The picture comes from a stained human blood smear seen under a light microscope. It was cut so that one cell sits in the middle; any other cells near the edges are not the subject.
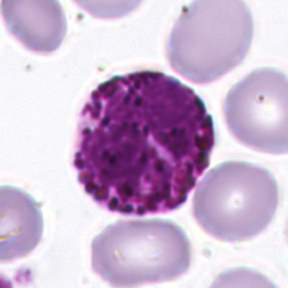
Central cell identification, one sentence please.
The central element of this crop is a cell, namely a basophil.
